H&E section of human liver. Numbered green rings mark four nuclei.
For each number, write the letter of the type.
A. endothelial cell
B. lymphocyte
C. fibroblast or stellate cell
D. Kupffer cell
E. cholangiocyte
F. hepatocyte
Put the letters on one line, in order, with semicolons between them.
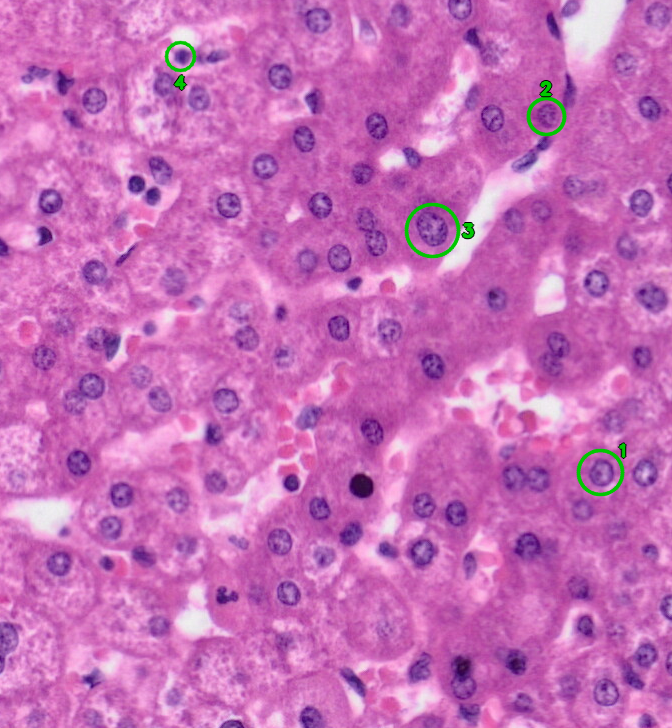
F; F; F; B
